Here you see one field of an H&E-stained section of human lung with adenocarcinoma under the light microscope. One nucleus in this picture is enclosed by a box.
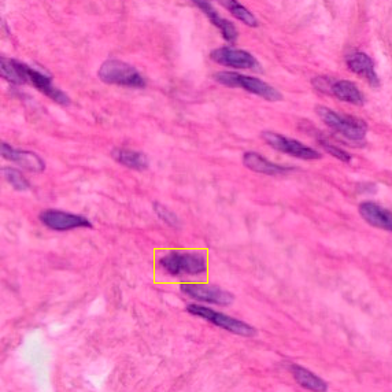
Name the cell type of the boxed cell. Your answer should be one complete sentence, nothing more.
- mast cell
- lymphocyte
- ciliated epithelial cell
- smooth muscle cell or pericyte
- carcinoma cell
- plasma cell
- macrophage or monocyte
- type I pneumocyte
The category to which the boxed cell belongs is that of a smooth muscle cell or pericyte.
